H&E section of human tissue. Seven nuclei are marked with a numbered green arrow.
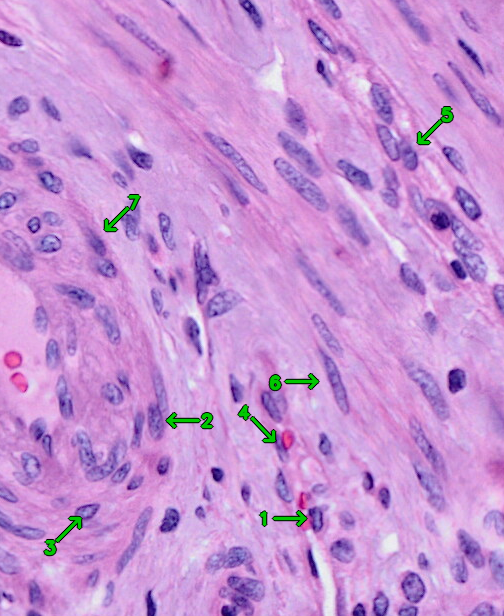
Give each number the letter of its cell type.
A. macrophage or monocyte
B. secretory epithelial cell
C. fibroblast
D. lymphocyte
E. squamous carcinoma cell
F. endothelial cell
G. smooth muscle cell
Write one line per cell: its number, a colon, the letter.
1: F
2: G
3: G
4: F
5: F
6: G
7: G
